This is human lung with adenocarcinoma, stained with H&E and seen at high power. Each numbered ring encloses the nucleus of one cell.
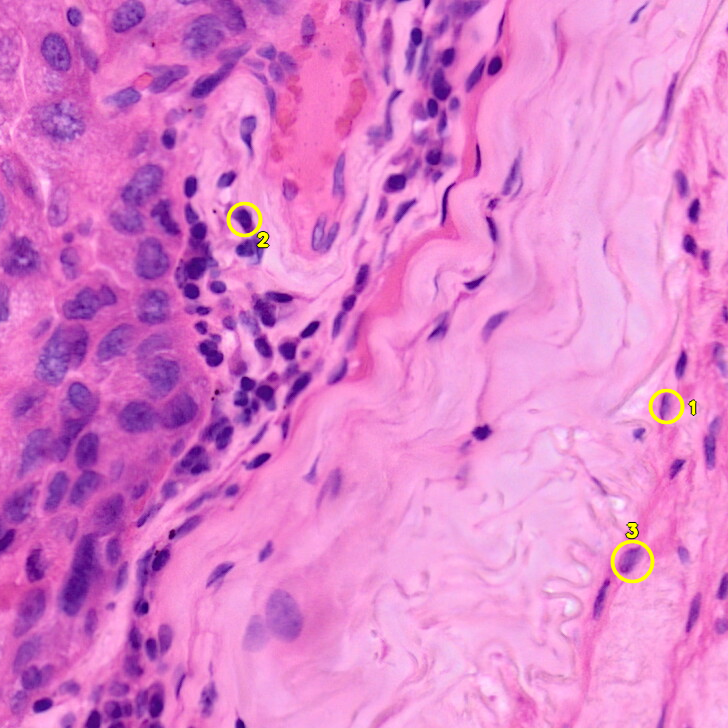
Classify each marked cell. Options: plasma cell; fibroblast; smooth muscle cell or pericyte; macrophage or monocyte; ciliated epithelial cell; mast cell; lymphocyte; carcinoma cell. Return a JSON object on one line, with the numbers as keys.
{"1": "smooth muscle cell or pericyte", "2": "plasma cell", "3": "smooth muscle cell or pericyte"}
